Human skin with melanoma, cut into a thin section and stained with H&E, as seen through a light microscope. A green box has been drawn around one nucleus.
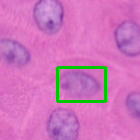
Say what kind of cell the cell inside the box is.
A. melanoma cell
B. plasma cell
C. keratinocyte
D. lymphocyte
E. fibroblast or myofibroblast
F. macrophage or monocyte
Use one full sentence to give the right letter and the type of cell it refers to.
Option C matches the cell inside the box, which is a keratinocyte.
